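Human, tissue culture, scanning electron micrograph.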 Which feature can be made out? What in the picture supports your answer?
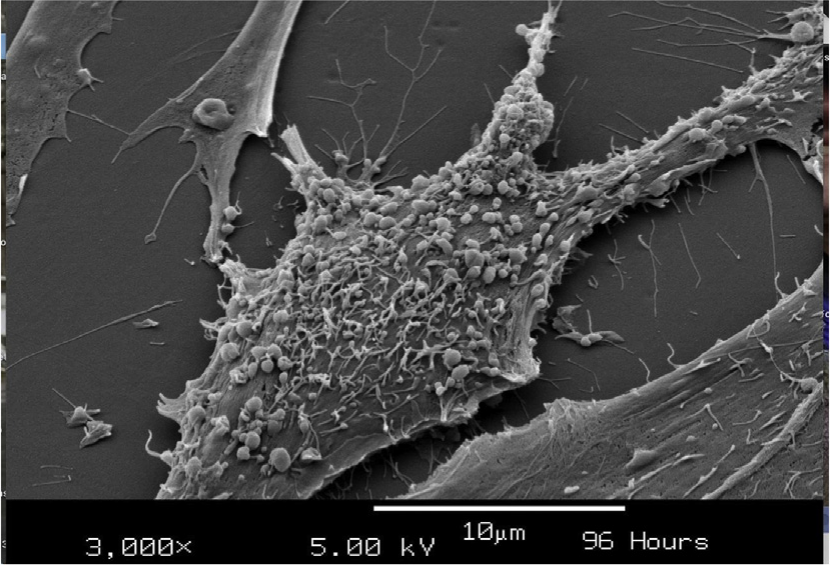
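Numerous small spherical bodies of varying size sit on the upper surface of the central cell. The spheres are concentrated over the cell body and along its upper process.
Hence: microvesicles.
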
